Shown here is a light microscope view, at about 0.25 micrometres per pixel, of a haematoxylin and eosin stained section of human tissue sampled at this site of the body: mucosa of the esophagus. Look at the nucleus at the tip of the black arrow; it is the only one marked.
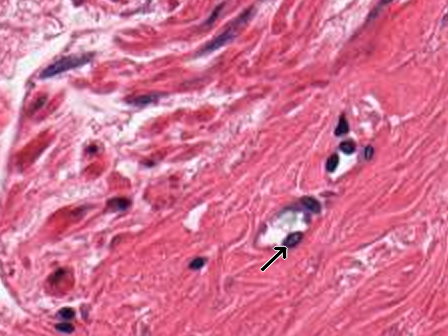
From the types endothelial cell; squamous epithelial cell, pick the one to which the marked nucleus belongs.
endothelial cell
